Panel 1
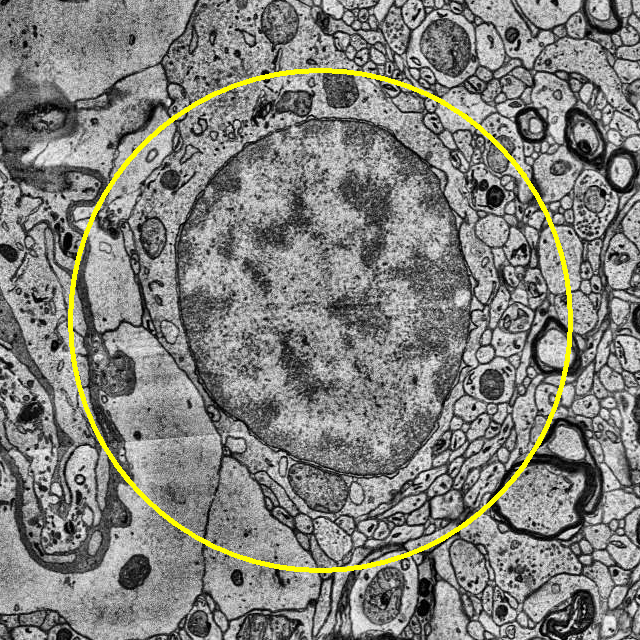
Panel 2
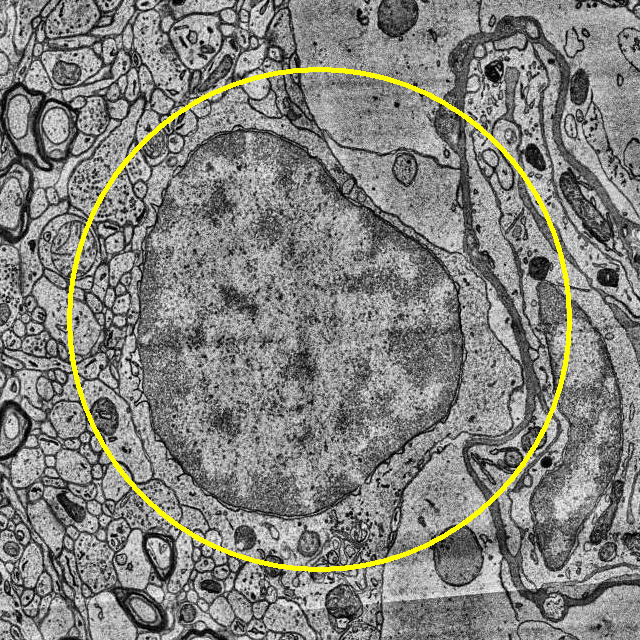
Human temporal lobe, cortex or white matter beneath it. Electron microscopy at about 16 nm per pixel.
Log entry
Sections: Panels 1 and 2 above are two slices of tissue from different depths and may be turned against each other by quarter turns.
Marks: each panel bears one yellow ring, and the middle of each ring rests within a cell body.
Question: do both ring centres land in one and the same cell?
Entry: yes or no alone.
yes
